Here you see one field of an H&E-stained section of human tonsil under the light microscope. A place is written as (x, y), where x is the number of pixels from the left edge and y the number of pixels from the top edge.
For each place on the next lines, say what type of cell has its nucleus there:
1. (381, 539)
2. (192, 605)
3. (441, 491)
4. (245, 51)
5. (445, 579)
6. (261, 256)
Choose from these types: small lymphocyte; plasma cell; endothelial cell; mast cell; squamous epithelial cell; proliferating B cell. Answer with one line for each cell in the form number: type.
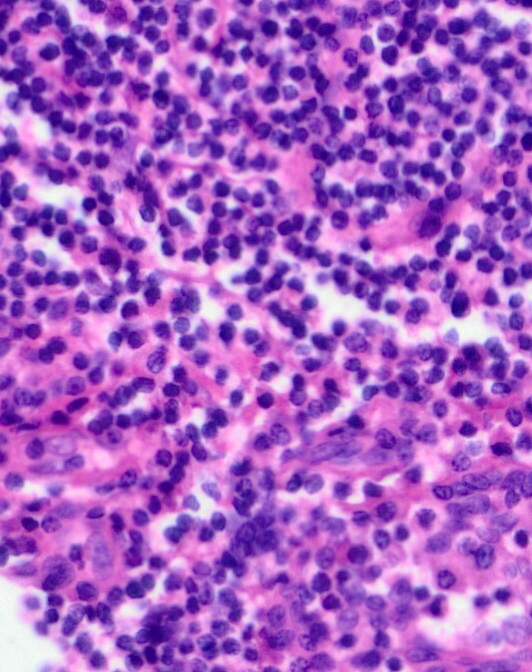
1: plasma cell
2: small lymphocyte
3: plasma cell
4: small lymphocyte
5: plasma cell
6: small lymphocyte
